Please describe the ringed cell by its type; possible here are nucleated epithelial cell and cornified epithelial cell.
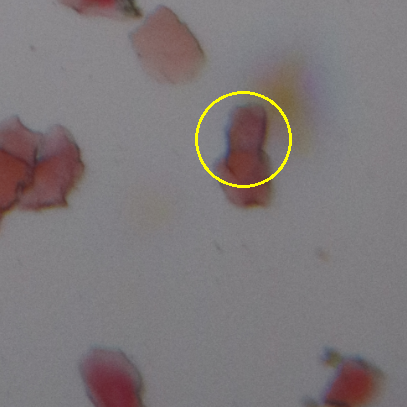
The yellow ring marks a cornified epithelial cell.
